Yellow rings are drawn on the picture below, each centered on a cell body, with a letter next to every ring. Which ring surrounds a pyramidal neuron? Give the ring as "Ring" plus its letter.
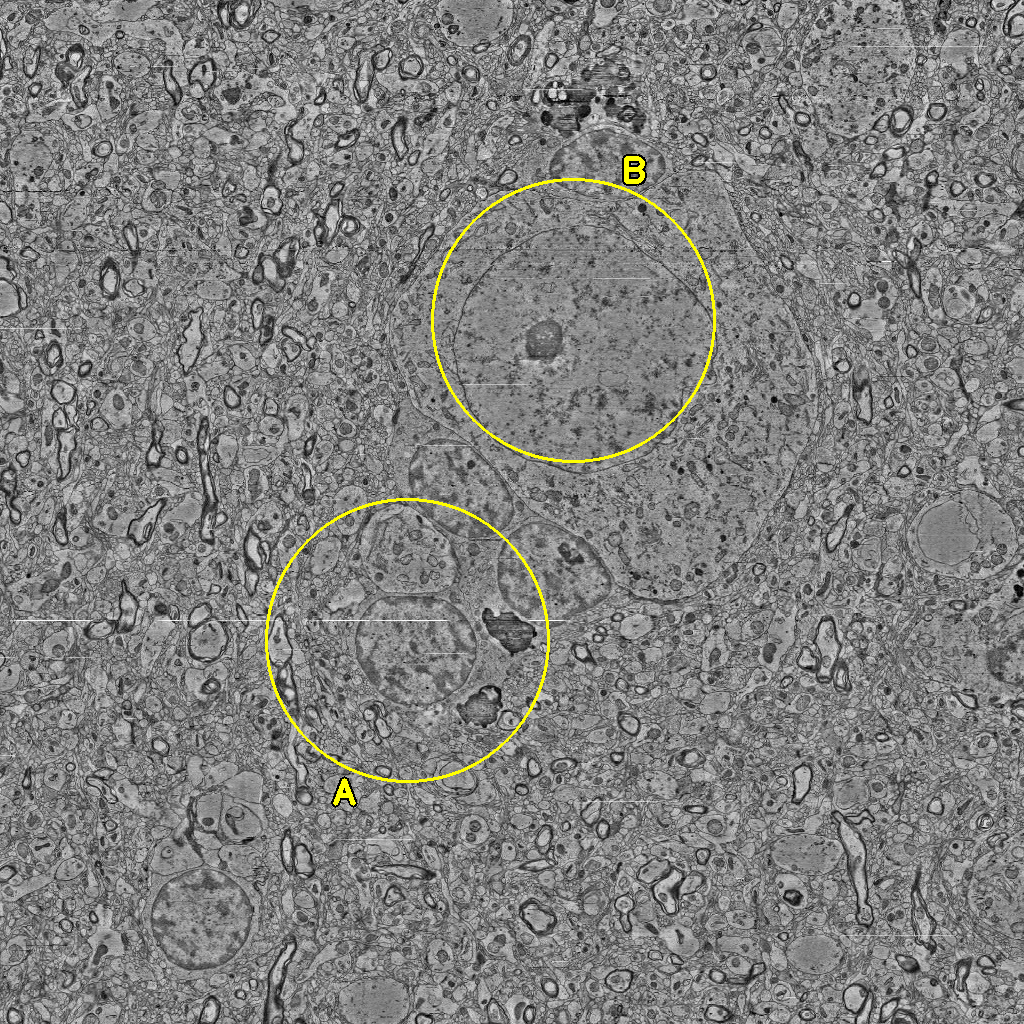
Ring B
